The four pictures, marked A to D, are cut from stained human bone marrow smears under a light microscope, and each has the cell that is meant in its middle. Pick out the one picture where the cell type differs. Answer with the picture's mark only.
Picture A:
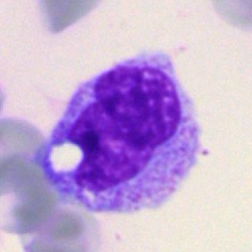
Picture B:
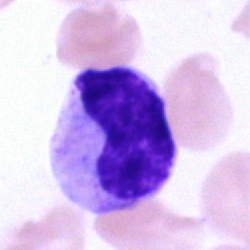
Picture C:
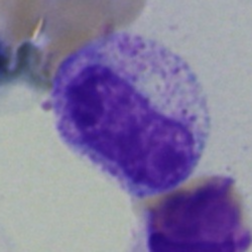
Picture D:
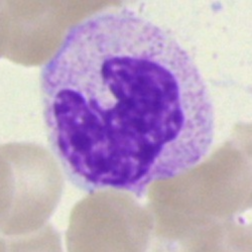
D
